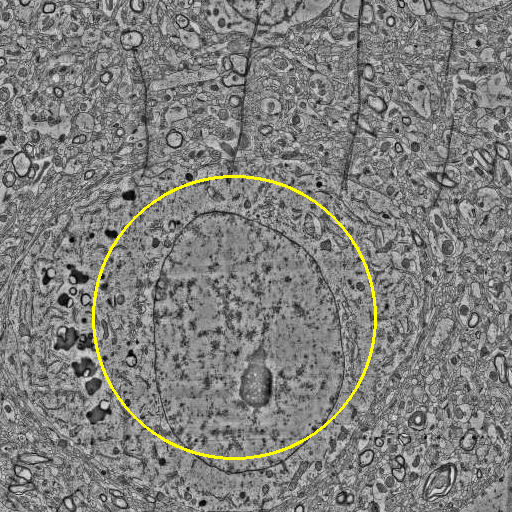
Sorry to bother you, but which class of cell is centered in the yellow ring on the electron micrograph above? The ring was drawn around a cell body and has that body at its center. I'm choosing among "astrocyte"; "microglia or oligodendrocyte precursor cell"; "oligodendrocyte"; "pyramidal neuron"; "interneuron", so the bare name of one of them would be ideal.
pyramidal neuron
